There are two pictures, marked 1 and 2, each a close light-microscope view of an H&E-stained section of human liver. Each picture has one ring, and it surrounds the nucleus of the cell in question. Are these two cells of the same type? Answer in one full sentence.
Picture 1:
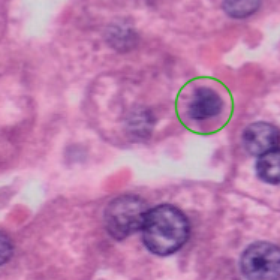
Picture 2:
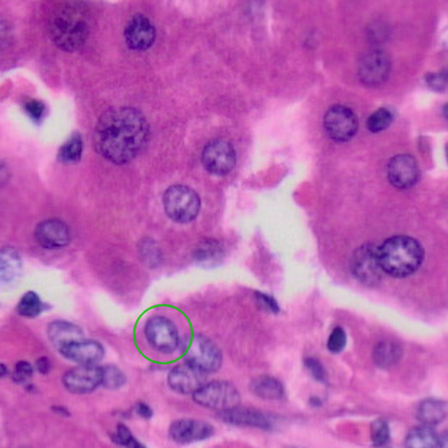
No, picture 1 shows a “fibroblast or stellate cell” and picture 2 shows a cholangiocyte.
